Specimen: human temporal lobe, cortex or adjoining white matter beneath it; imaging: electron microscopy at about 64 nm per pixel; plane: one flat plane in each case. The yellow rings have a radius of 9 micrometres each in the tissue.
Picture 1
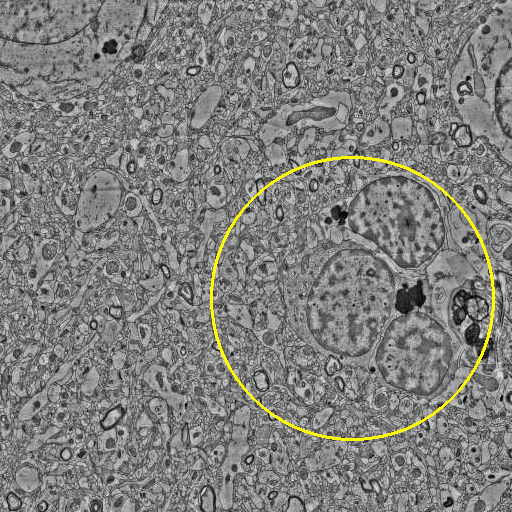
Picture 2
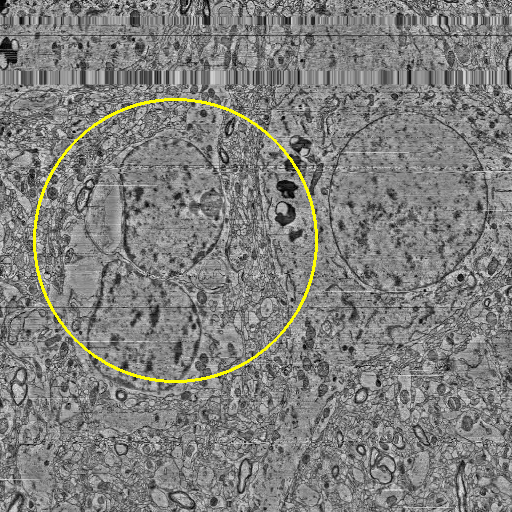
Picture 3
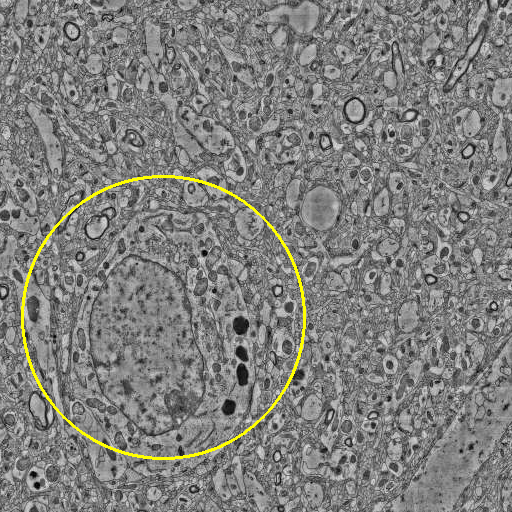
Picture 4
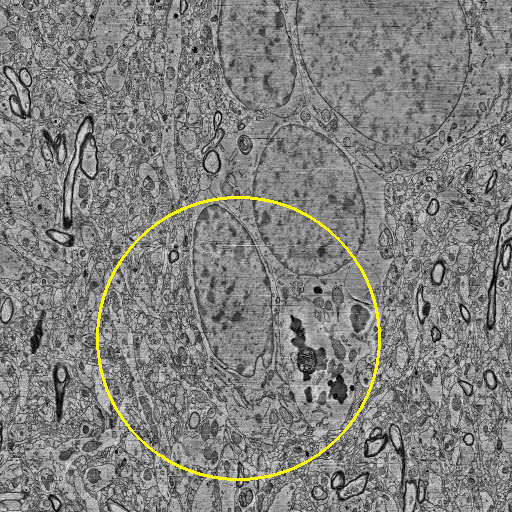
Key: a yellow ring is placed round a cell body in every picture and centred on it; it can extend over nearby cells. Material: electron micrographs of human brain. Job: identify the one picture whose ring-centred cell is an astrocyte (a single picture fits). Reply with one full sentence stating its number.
Picture 2 is the one with the sought cell at the centre of its ring.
